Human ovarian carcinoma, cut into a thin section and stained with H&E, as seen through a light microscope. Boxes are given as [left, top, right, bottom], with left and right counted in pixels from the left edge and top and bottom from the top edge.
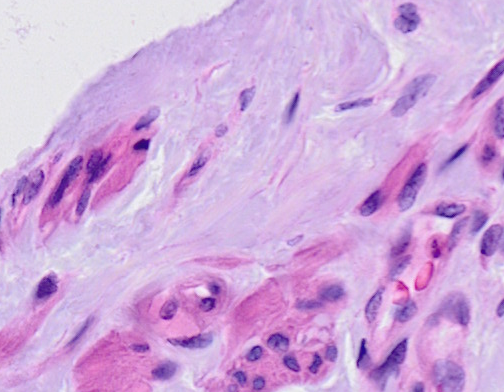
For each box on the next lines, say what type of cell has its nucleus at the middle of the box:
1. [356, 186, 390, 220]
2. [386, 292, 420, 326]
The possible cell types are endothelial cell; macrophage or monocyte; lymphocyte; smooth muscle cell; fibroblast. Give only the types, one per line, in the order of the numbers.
smooth muscle cell
endothelial cell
